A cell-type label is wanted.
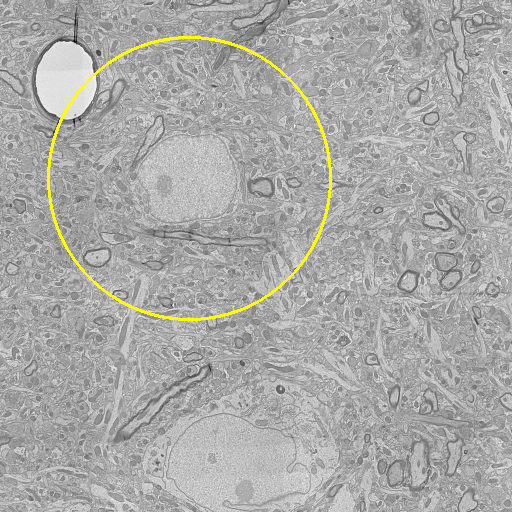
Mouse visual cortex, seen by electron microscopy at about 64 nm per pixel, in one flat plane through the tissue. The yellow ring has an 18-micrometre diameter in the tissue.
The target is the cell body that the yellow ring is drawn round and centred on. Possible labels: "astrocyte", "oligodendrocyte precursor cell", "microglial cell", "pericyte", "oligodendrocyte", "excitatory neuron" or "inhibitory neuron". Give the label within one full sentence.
Of the labels offered, the cell in the middle of the yellow ring is an astrocyte.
